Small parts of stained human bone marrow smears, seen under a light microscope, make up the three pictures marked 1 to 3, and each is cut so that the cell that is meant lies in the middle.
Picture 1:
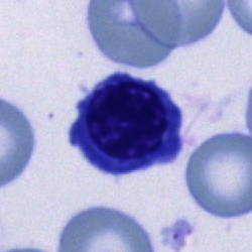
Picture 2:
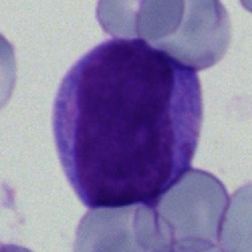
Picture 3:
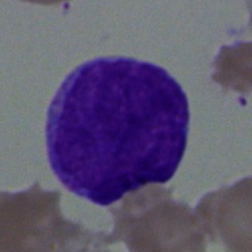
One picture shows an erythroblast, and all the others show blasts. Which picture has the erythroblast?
1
